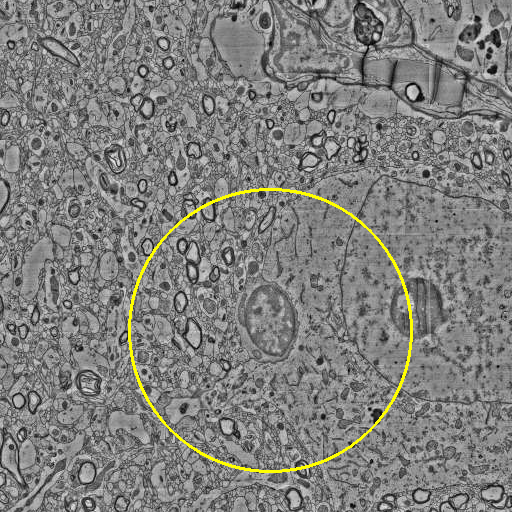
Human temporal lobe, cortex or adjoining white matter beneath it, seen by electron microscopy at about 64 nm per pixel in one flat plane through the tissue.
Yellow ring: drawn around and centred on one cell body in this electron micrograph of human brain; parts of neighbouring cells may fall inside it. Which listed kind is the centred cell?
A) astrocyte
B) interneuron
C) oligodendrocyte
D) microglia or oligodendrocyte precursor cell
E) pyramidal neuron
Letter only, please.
C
